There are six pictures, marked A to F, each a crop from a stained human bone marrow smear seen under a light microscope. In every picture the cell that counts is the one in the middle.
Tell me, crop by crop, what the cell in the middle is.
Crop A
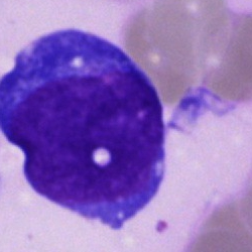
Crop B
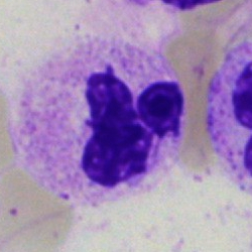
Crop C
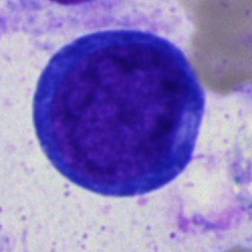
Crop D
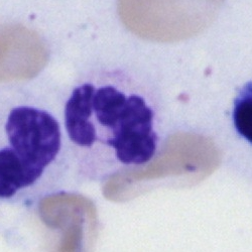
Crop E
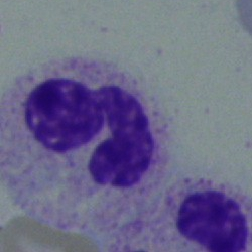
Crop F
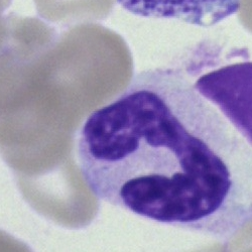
A: proerythroblast
B: segmented neutrophil
C: proerythroblast
D: segmented neutrophil
E: segmented neutrophil
F: segmented neutrophil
